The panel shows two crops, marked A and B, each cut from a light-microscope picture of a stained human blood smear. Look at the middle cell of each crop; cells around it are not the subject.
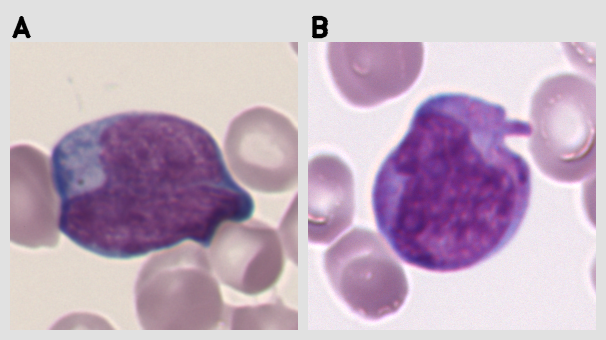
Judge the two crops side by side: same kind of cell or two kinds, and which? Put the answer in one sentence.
No, a myeloblast is centred in crop A, and an atypical promyelocyte is centred in crop B.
